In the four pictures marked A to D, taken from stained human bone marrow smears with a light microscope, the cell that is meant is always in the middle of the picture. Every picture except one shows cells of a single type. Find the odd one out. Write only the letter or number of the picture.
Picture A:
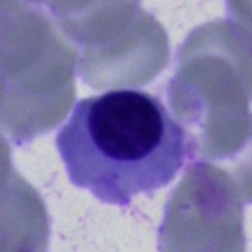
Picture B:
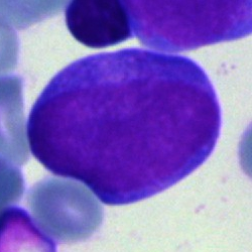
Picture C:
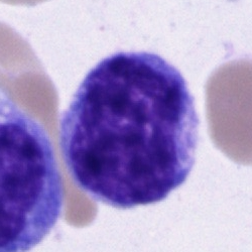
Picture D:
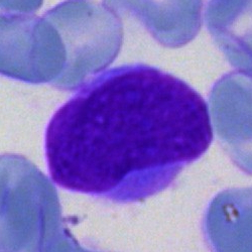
A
